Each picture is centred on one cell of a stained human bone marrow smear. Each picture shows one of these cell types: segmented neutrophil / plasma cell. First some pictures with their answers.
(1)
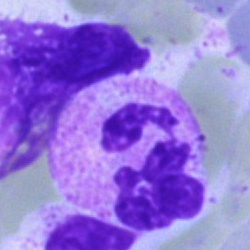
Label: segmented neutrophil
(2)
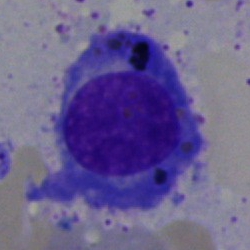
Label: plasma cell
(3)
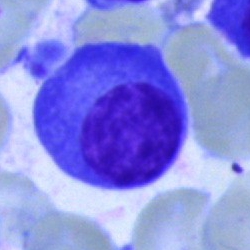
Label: plasma cell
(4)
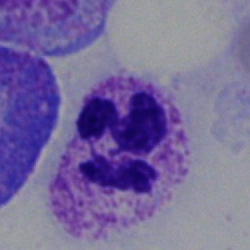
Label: segmented neutrophil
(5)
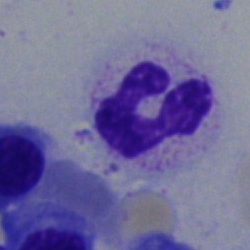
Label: segmented neutrophil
